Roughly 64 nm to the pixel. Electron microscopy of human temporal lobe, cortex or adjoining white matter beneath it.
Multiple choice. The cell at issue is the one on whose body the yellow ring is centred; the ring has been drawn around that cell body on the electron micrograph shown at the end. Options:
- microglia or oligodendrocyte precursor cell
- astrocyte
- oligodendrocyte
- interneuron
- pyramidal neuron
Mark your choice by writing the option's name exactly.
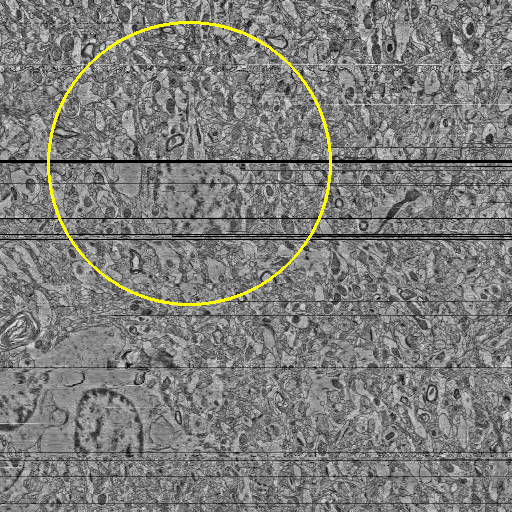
interneuron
